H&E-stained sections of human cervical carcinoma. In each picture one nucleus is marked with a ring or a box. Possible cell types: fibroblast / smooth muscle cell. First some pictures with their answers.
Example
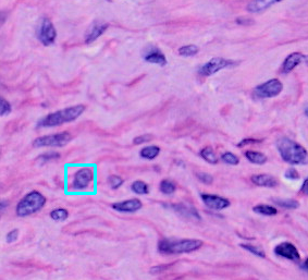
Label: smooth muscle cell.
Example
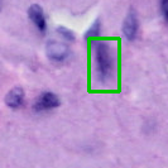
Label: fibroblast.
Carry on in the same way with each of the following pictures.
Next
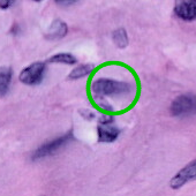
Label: fibroblast.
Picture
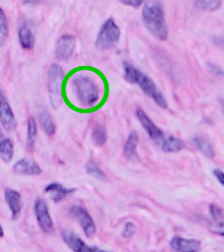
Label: smooth muscle cell.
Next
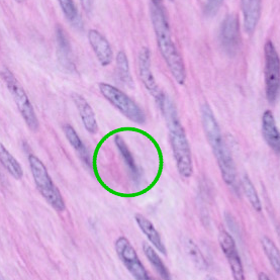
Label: smooth muscle cell.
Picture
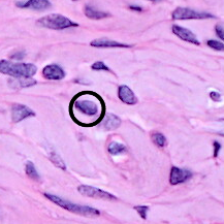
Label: fibroblast.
